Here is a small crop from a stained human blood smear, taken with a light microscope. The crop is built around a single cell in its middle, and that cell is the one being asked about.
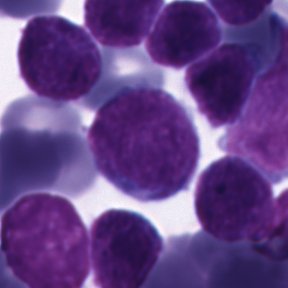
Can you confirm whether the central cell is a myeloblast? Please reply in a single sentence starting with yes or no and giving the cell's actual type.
Yes, in the centre of this field sits a myeloblast.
